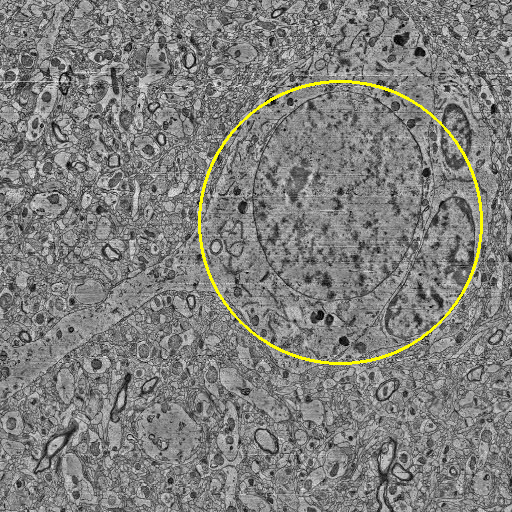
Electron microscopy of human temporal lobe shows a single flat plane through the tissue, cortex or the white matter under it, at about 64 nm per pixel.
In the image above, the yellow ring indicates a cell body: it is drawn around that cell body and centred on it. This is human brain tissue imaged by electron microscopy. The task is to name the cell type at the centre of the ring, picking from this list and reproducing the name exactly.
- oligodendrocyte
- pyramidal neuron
pyramidal neuron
